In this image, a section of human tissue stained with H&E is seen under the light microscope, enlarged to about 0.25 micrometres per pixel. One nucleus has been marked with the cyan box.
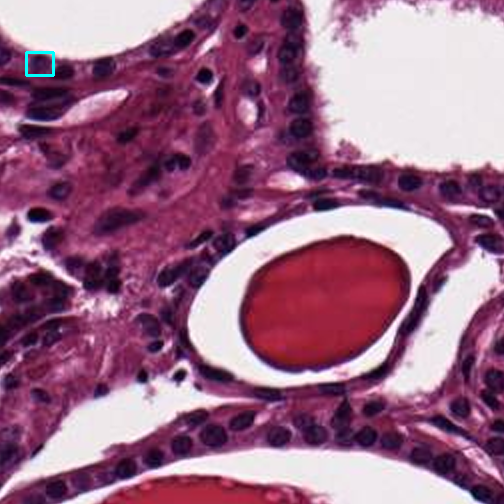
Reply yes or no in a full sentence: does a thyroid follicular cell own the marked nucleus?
Yes, the marked nucleus is identified as that of a thyroid follicular cell.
